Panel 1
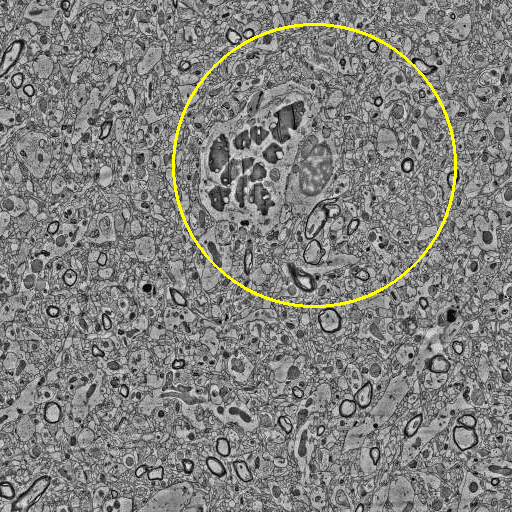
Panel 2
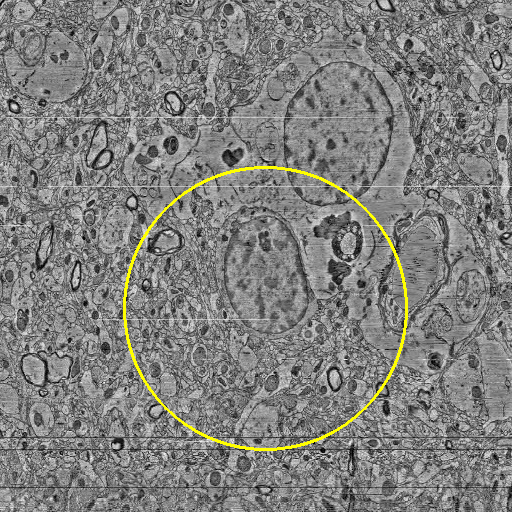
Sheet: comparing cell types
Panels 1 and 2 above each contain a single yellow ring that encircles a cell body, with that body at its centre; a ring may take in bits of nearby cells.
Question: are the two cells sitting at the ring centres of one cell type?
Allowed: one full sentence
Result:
Yes, the ring-centre cells in Panel 1 and Panel 2 are of one type.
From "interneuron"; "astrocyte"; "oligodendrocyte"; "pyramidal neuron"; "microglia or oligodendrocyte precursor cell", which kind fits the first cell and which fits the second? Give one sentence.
The cell at the ring centre is an oligodendrocyte in both pictures.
